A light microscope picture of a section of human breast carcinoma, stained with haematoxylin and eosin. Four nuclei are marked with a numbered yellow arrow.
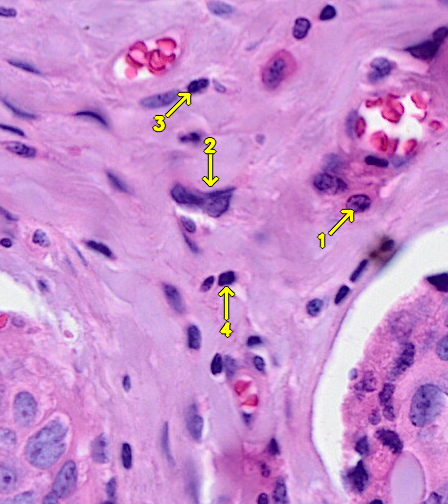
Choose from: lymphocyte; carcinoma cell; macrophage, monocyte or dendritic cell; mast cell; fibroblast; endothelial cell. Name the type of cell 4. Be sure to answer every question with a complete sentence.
Recognised here as a lymphocyte is the cell numbered 4.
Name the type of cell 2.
Classified as a fibroblast is the cell with the number 2.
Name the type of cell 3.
Corresponding to a lymphocyte is the cell labelled 3.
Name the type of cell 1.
Regarding cell 1, this one is a mast cell.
